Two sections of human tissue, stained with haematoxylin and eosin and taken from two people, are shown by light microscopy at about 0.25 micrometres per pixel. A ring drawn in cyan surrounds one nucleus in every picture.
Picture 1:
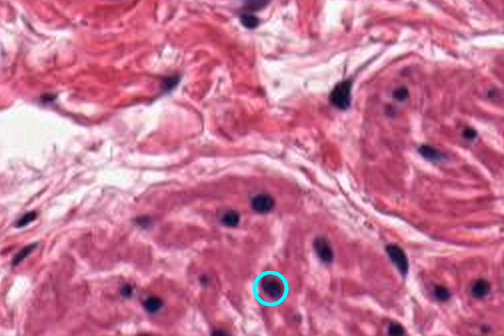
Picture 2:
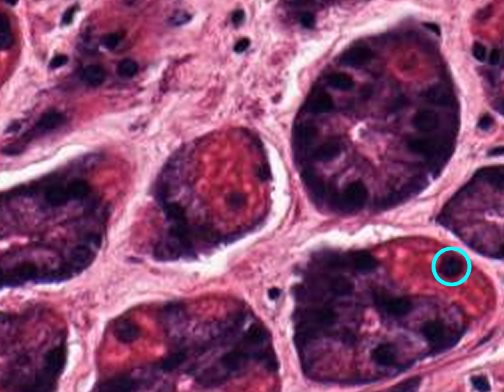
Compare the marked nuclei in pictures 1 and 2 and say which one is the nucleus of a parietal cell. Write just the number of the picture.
2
